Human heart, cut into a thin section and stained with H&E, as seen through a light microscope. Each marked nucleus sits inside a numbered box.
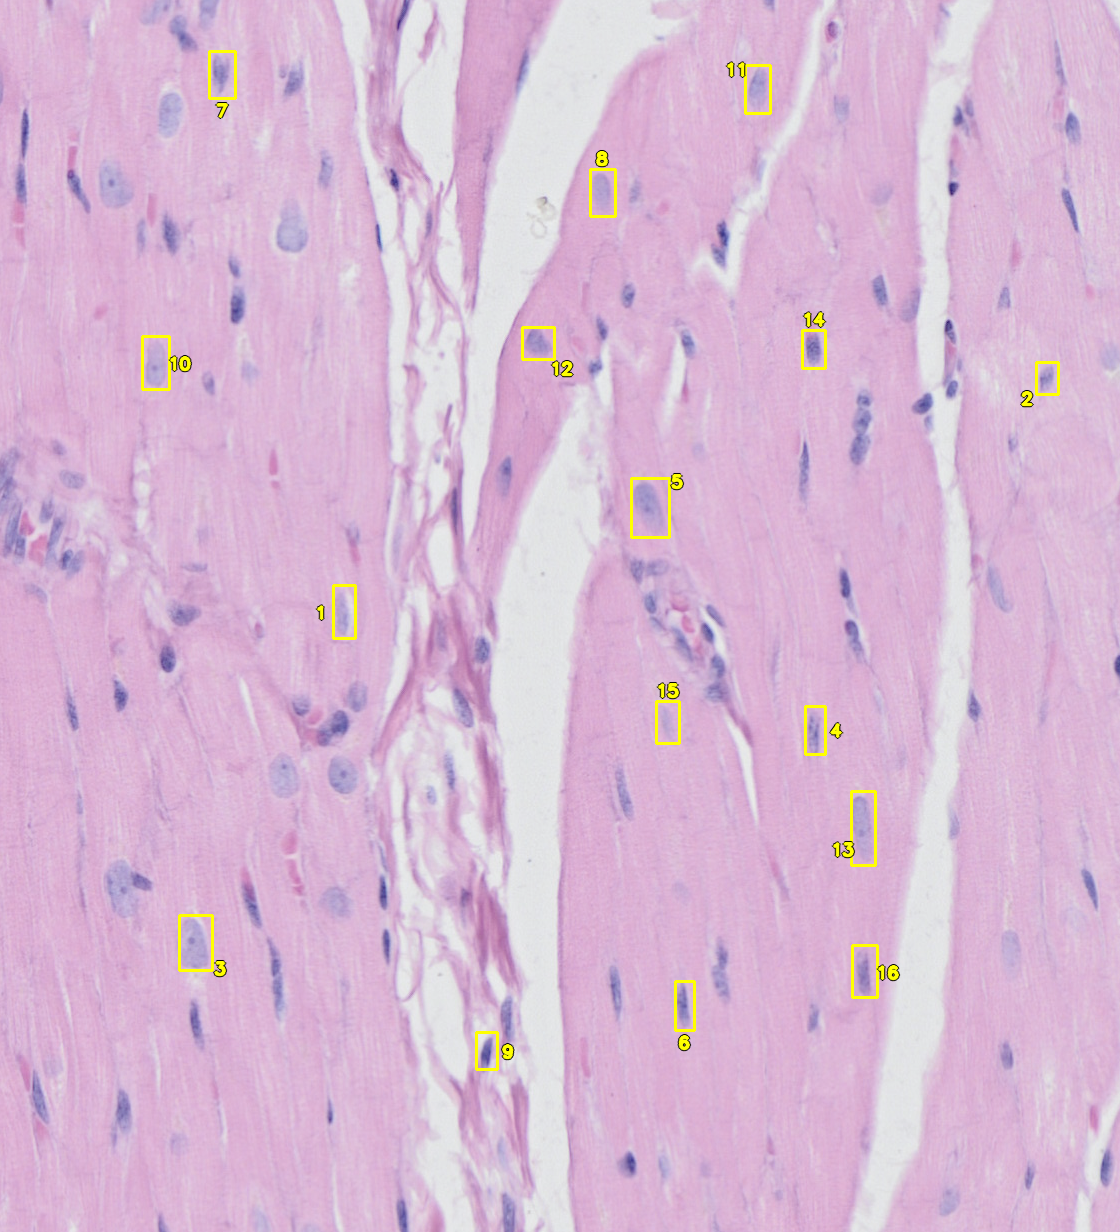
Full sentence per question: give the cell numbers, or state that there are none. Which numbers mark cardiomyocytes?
In this section, the cells numbered 1, 3, 5, 8, 10, 11, 12, 13 and 15 are cardiomyocytes.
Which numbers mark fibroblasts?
There is only one numbered cell that is a fibroblast, and it is cell 9.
